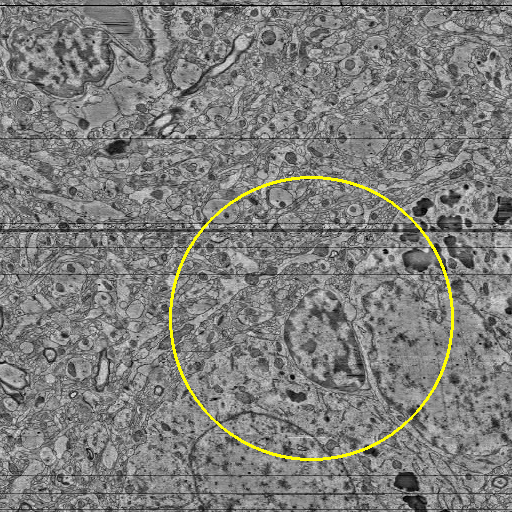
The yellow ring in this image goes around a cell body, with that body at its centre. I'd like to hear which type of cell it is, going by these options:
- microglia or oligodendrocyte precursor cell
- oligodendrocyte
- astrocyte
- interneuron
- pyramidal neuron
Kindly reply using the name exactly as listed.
microglia or oligodendrocyte precursor cell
